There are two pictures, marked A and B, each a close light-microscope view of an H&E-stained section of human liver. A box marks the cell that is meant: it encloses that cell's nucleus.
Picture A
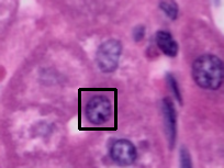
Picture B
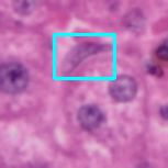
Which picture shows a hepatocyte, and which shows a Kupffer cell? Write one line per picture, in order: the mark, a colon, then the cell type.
A: hepatocyte
B: Kupffer cell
